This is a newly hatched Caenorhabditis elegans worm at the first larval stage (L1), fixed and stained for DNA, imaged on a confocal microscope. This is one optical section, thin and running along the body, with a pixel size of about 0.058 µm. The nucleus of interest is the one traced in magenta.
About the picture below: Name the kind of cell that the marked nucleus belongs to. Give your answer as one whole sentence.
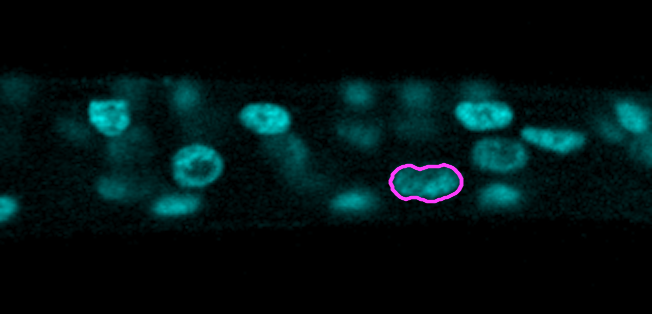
It is the nucleus of a hypodermal cell (hyp).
